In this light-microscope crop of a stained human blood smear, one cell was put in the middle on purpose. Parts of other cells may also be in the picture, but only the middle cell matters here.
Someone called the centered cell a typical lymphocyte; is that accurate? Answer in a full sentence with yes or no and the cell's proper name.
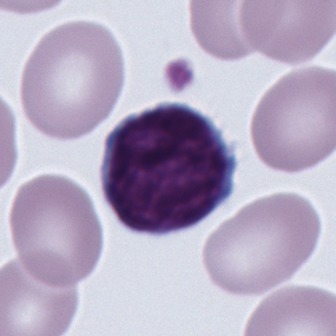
Yes, the cell at the middle of the field is to be classed as a typical lymphocyte.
